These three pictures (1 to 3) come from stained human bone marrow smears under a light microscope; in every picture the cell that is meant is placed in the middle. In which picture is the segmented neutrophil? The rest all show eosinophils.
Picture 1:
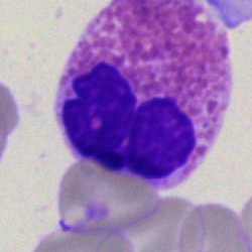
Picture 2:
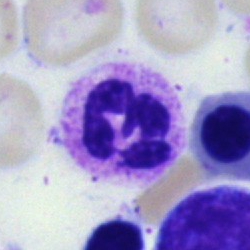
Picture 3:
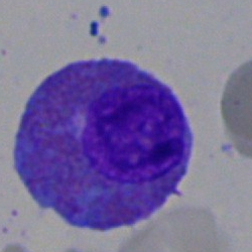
2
